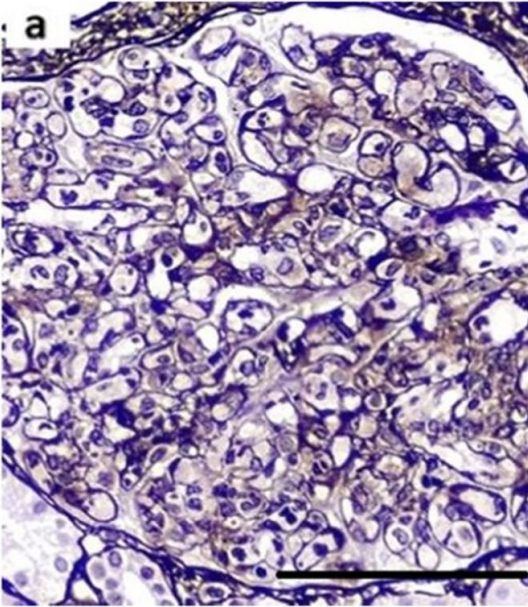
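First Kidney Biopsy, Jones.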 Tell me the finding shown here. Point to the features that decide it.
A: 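The glomerular tuft is packed with nuclei throughout. Many capillary lumens are filled with cells rather than open. Capillary loops are outlined by dark silver-stained basement membranes.
Conclusion: endocapillary hypercellularity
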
